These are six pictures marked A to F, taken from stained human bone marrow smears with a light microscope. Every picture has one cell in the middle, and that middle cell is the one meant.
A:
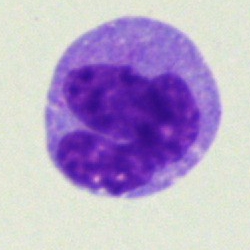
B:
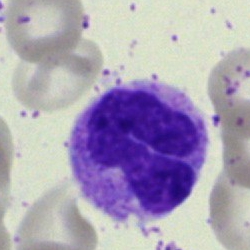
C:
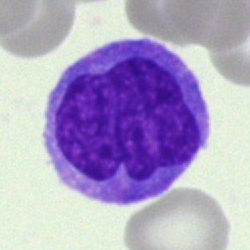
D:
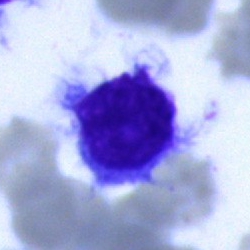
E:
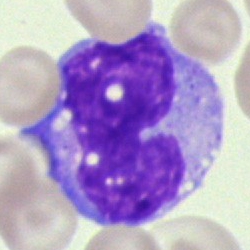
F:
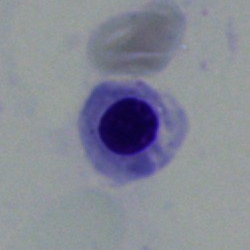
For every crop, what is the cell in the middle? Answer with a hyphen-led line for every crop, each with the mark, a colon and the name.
- A: monocyte
- B: metamyelocyte
- C: monocyte
- D: hairy cell
- E: monocyte
- F: normoblast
